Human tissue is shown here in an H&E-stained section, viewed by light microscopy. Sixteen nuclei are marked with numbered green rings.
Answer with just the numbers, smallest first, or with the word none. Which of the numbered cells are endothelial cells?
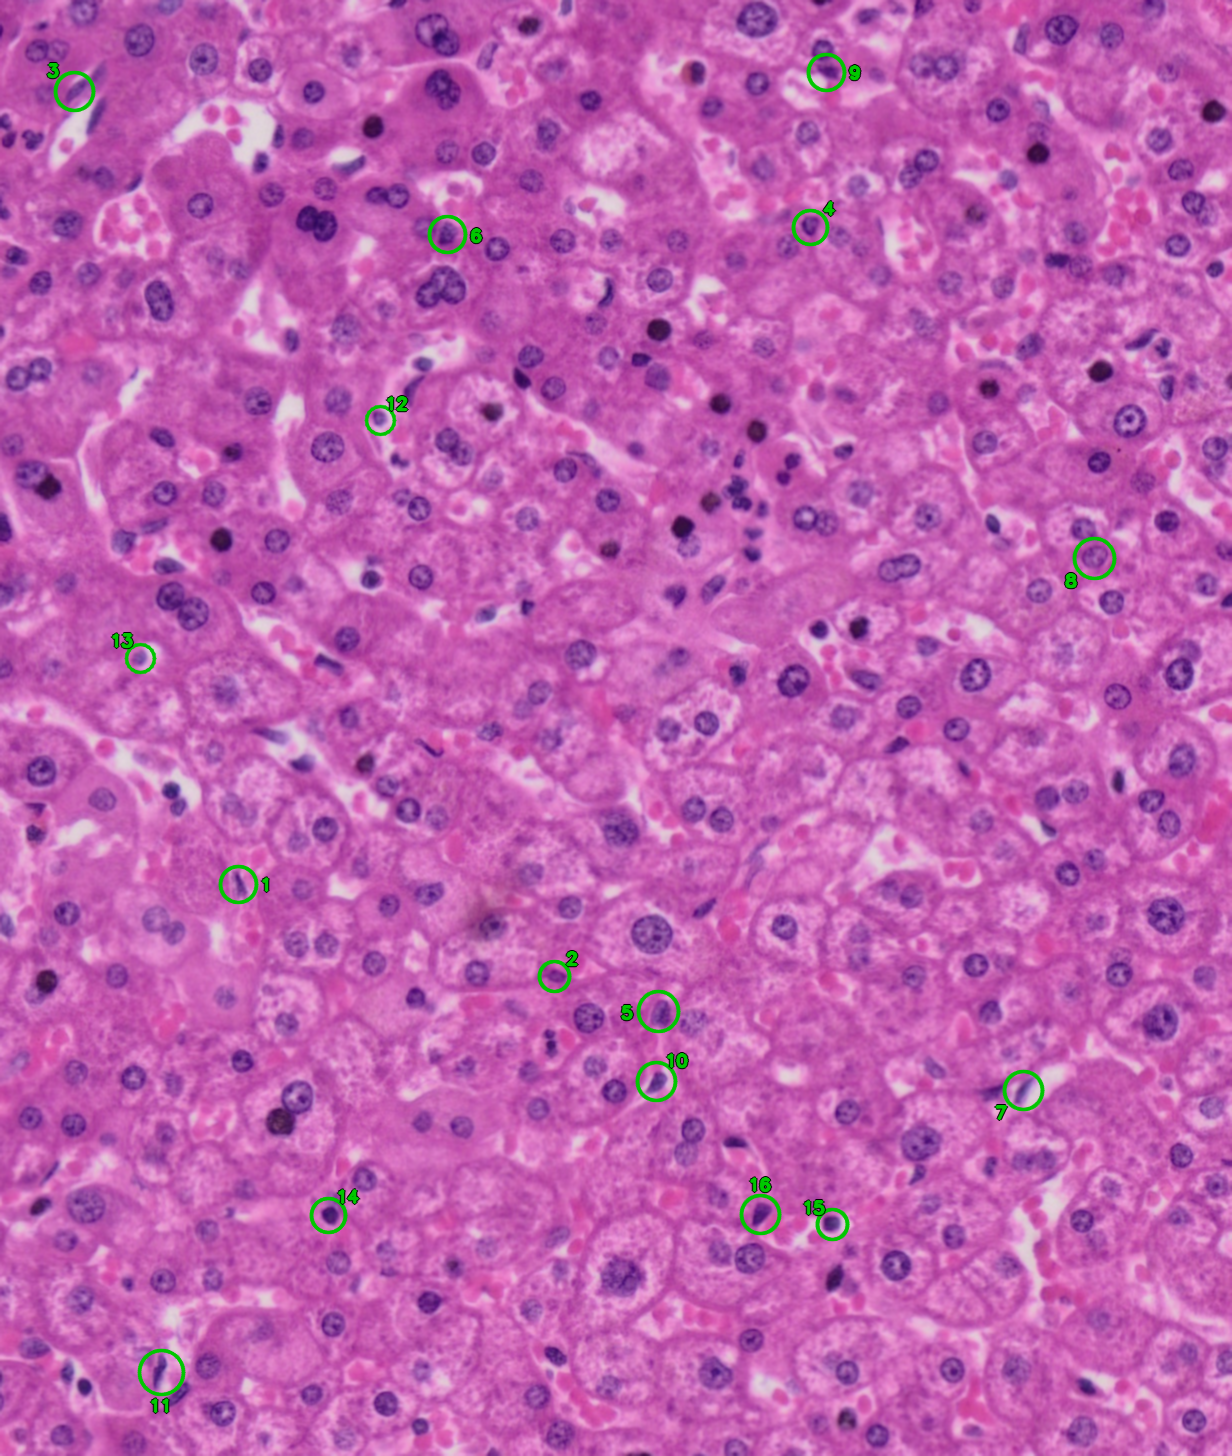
1, 5, 7, 11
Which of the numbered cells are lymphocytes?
10, 12, 13, 14, 15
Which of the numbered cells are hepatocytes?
8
